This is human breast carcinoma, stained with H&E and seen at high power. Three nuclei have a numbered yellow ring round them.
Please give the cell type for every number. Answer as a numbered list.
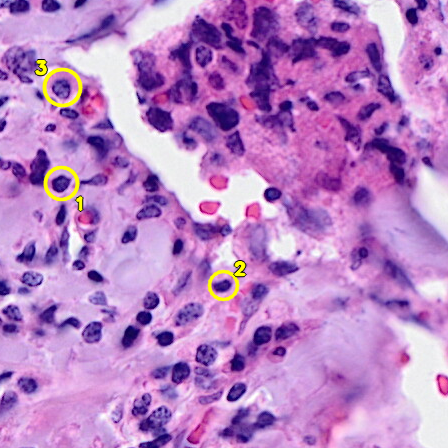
1. lymphocyte
2. lymphocyte
3. mast cell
